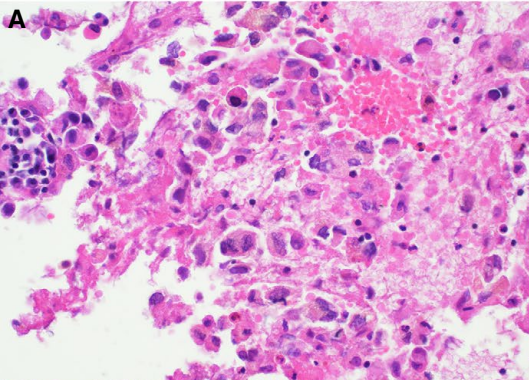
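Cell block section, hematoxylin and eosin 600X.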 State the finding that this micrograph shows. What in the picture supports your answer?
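Scattered large atypical cells at the edges of the debris. That points to this answer: necrosis.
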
